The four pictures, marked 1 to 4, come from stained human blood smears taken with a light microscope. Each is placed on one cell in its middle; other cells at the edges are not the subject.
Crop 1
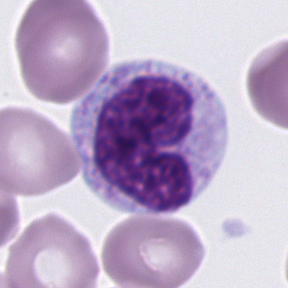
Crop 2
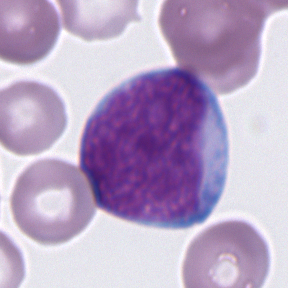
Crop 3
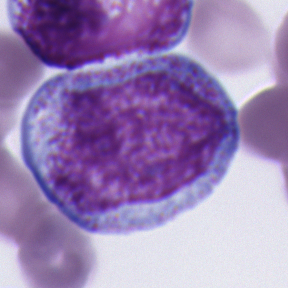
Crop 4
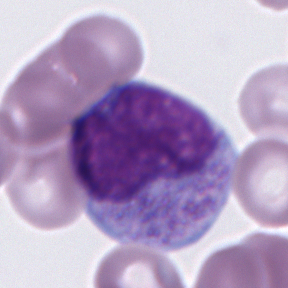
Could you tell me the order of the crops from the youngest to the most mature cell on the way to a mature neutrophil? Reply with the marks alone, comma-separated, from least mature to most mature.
2, 3, 4, 1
